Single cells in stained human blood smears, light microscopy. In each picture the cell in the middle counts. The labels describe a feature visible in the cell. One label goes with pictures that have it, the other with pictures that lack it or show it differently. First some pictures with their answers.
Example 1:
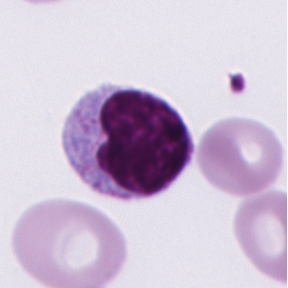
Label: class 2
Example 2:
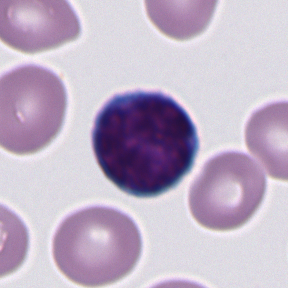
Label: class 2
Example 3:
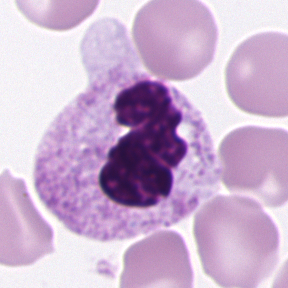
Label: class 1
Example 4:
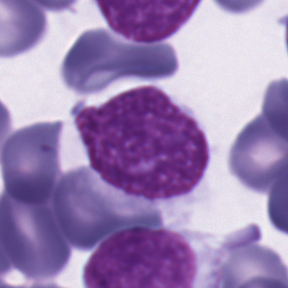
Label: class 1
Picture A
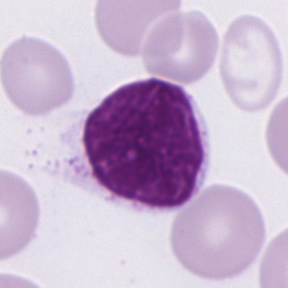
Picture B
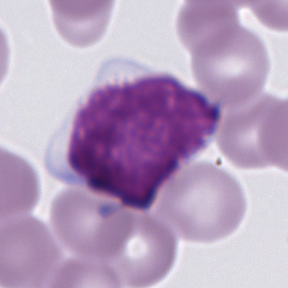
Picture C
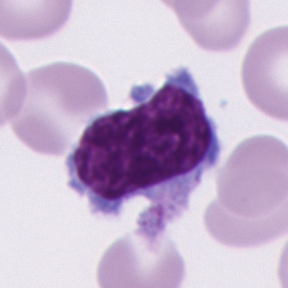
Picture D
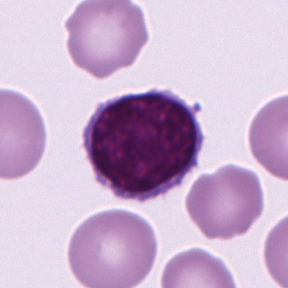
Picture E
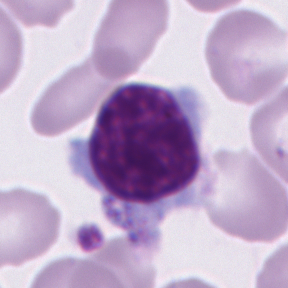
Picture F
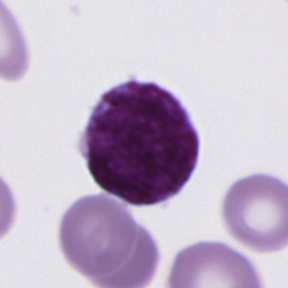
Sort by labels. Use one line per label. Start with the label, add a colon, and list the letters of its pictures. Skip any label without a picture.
class 1: A, B, C, D, E, F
